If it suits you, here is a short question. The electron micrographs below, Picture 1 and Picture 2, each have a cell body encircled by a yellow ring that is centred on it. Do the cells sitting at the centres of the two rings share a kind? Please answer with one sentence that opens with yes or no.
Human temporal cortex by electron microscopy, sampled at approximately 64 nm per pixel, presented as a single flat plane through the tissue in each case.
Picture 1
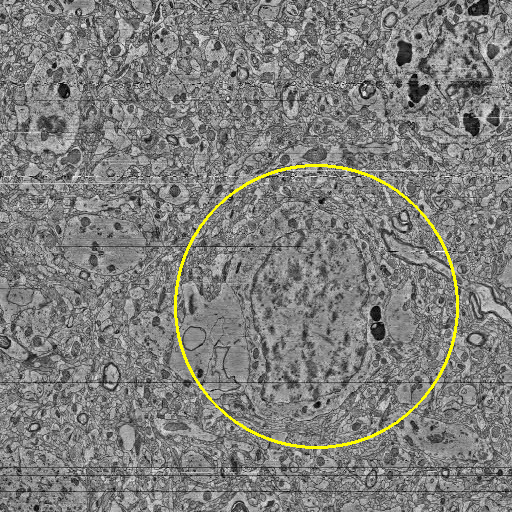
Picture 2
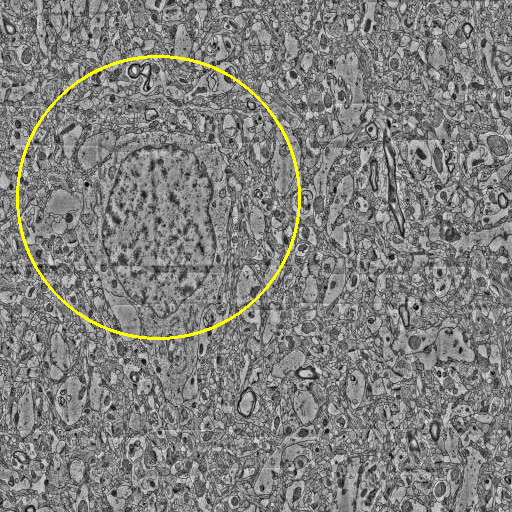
Yes, the two cells sitting at the ring centres share a single kind.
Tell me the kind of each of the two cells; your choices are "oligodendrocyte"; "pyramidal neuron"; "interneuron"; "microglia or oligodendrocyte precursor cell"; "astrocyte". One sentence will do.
Both rings mark an interneuron, one in each picture.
